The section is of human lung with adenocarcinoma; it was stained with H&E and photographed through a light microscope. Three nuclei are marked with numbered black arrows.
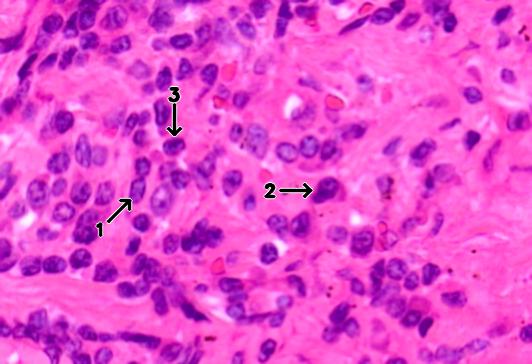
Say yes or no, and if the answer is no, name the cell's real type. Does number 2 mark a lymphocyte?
No, it is a plasma cell.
